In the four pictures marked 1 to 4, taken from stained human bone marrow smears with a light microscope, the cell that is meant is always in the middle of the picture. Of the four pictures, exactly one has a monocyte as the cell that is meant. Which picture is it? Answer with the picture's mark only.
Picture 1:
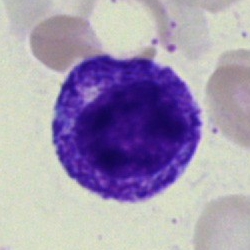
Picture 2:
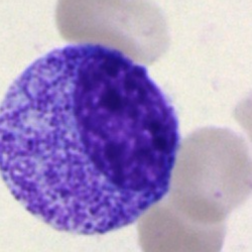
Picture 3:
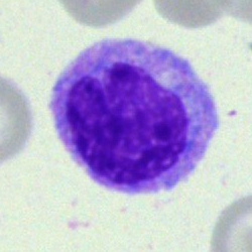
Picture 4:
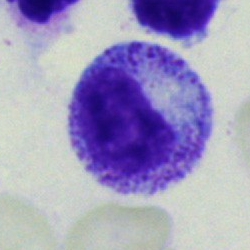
3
